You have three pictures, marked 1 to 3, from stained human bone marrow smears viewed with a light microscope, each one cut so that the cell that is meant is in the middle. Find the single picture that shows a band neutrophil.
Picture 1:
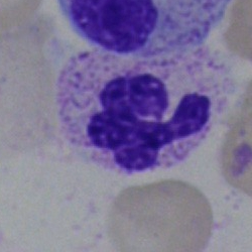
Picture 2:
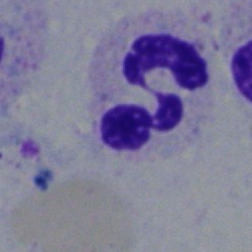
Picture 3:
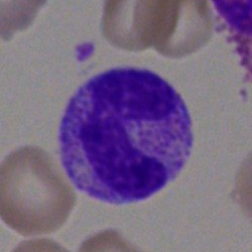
3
